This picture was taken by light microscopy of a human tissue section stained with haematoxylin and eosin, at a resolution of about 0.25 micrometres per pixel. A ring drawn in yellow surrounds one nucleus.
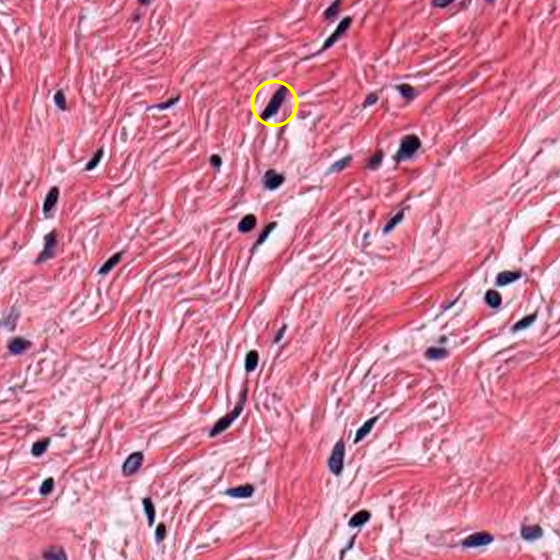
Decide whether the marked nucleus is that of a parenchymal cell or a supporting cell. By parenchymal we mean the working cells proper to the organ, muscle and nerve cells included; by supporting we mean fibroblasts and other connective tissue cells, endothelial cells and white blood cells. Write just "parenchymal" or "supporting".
supporting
